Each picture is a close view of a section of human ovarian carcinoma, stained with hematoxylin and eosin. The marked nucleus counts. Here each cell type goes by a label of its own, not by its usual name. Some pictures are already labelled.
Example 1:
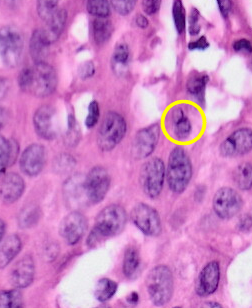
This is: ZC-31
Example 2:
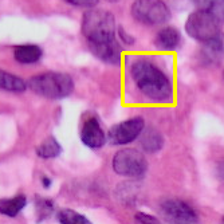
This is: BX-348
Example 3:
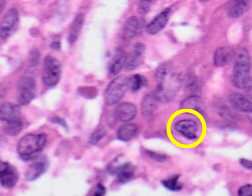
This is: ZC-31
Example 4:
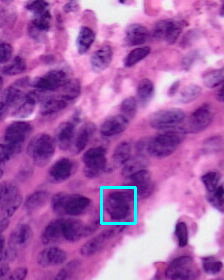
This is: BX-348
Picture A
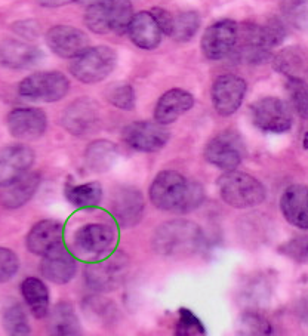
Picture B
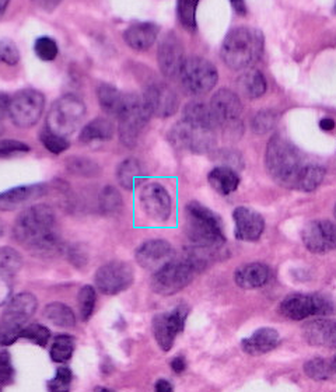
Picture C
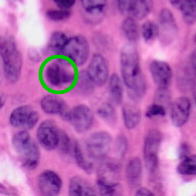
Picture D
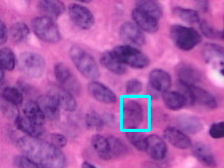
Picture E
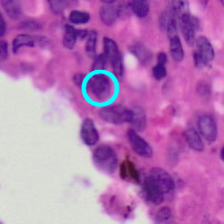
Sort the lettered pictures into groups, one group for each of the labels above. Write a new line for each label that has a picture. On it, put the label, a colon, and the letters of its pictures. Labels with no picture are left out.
ZC-31: B
BX-348: A, C, D, E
